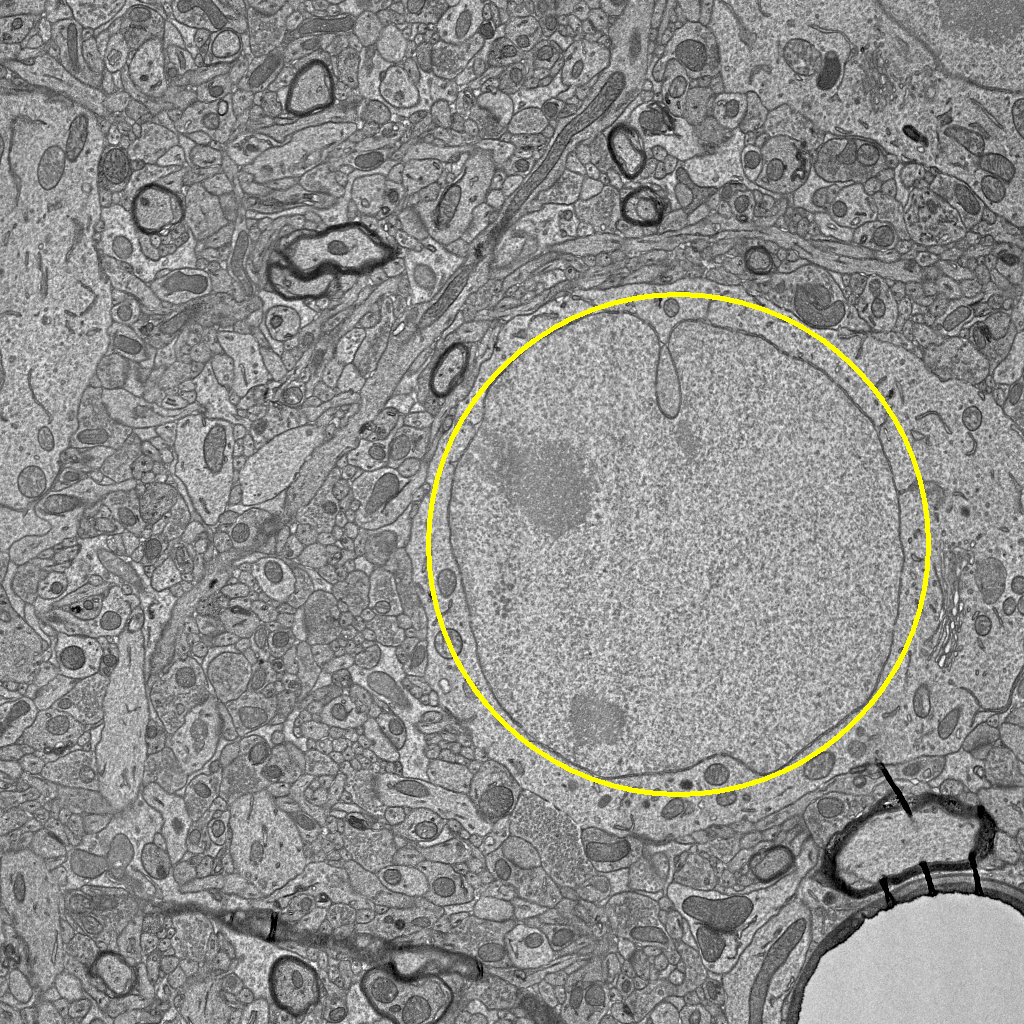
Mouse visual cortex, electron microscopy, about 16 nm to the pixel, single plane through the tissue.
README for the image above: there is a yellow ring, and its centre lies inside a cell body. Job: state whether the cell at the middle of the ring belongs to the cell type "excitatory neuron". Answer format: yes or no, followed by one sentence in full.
Yes, the cell lying at the middle of the ring in the image belongs to that type.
